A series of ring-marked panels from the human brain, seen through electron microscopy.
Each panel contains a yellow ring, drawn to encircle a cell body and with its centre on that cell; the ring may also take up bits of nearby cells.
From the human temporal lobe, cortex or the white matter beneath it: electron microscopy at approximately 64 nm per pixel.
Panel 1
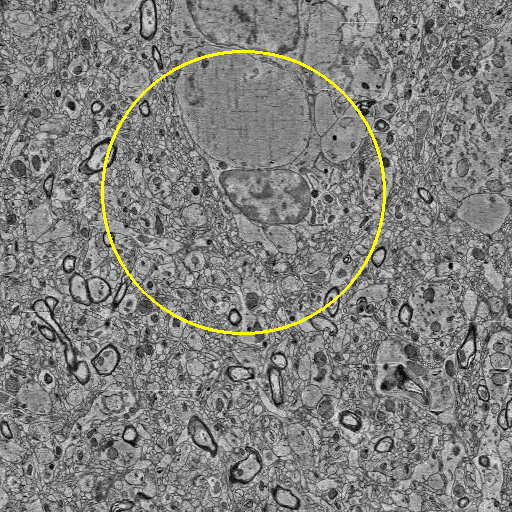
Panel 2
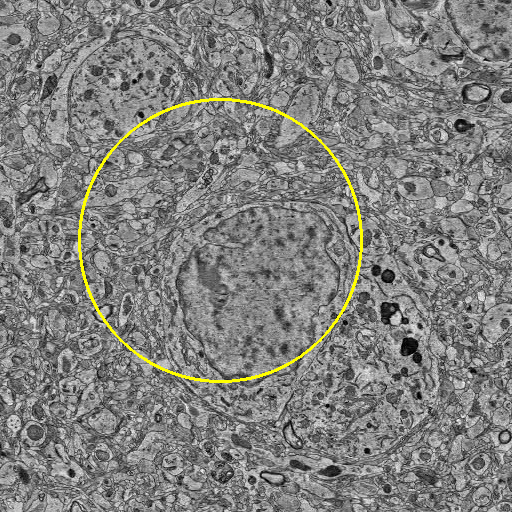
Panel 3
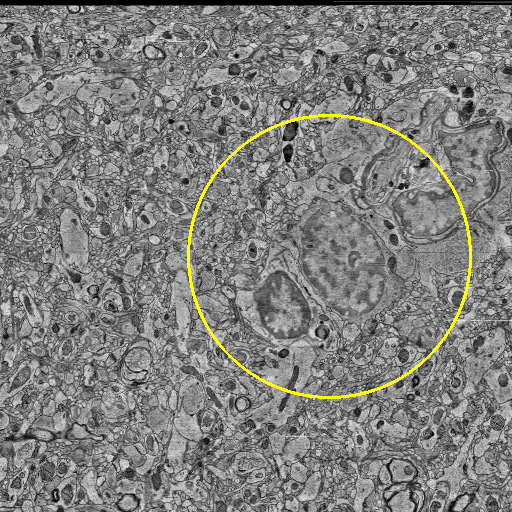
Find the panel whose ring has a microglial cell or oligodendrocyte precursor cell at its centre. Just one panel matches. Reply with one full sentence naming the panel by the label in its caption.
The sought cell lies at the centre of the ring shown in Panel 1.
